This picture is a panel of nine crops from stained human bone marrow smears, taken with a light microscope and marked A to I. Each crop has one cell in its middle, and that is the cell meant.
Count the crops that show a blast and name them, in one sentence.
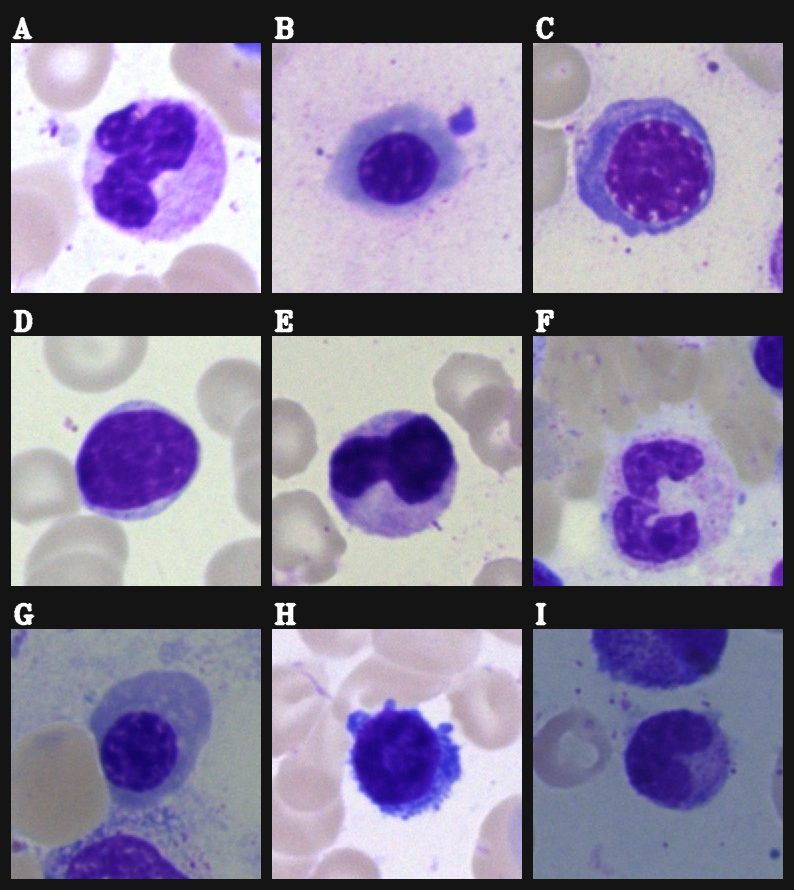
In each of the crops blasts are absent, so the count is zero.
